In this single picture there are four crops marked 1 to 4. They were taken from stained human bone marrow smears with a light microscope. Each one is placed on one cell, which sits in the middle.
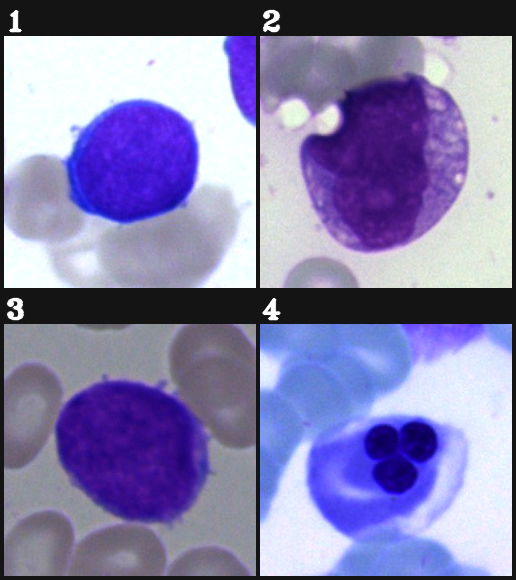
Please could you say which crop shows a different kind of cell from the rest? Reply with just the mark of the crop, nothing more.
4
